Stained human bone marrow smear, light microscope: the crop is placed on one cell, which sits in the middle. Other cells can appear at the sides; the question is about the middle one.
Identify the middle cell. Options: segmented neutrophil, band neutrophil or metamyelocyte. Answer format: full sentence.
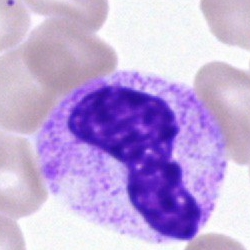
As for the cell in the middle, it is a band neutrophil.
